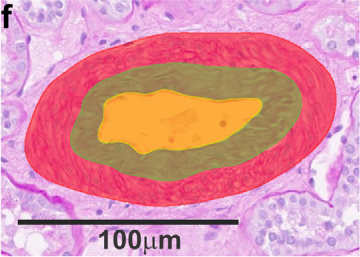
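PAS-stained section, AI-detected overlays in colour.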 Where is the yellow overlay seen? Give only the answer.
Lumen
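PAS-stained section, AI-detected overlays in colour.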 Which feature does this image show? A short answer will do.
Artery.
